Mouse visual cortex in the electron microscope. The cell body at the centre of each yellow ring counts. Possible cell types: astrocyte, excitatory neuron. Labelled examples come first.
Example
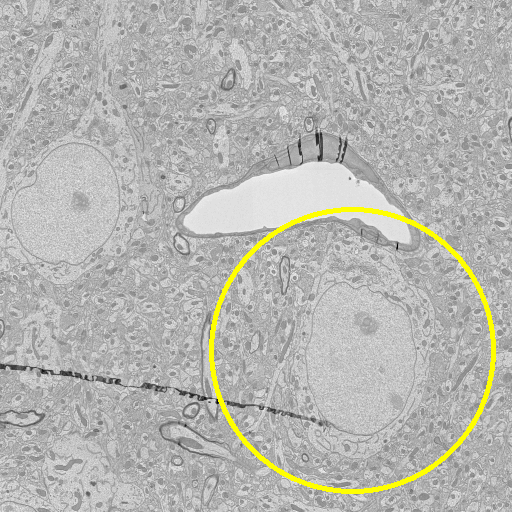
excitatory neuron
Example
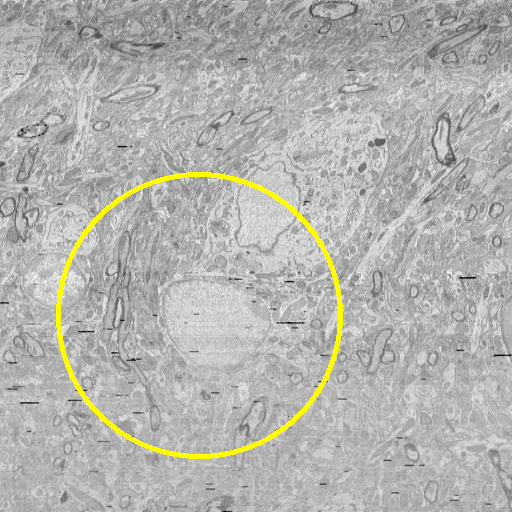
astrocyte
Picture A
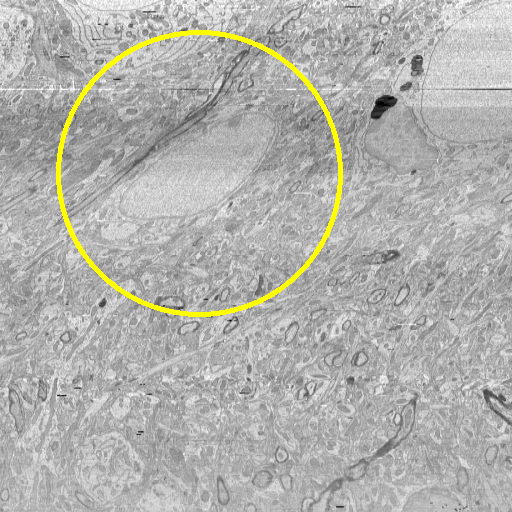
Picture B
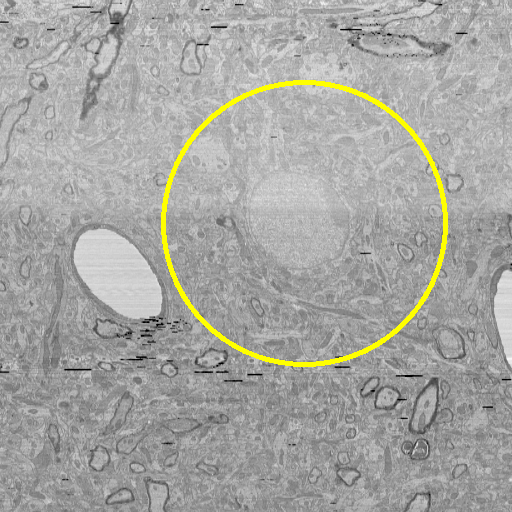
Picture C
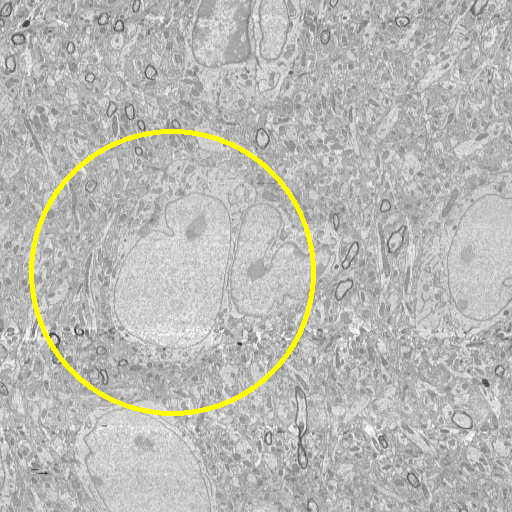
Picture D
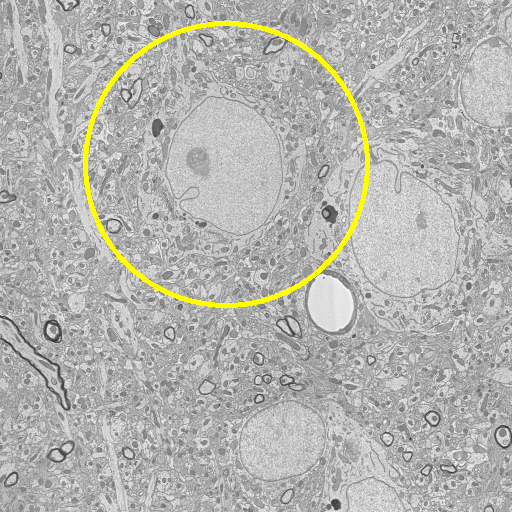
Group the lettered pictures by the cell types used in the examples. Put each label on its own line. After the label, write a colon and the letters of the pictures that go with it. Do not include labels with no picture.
astrocyte: A, B
excitatory neuron: C, D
